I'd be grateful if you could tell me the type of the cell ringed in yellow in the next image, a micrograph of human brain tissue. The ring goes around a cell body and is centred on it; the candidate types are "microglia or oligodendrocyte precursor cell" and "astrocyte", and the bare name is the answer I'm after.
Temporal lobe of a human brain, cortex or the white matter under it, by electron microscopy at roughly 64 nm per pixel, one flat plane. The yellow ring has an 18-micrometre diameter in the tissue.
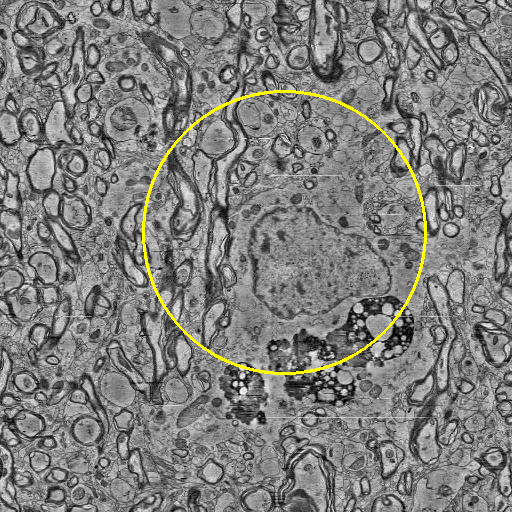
astrocyte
